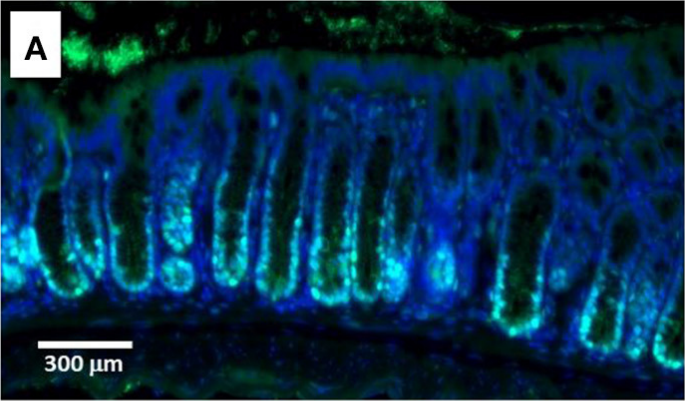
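Intestinal wall with a row of crypts, elongated tubular glands standing in parallel and perpendicular to the surface. Their lumens appear as dark elongated spaces lined by epithelium with blue nuclei. Bright green to cyan fluorescence is concentrated in the lower portions of the crypts, where many nuclei light up, while the upper parts near the surface show mainly blue nuclear staining. Beneath the crypt bases lies a thin band of tissue with scattered blue nuclei. Above the epithelial surface, patchy green material lies in the lumen.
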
